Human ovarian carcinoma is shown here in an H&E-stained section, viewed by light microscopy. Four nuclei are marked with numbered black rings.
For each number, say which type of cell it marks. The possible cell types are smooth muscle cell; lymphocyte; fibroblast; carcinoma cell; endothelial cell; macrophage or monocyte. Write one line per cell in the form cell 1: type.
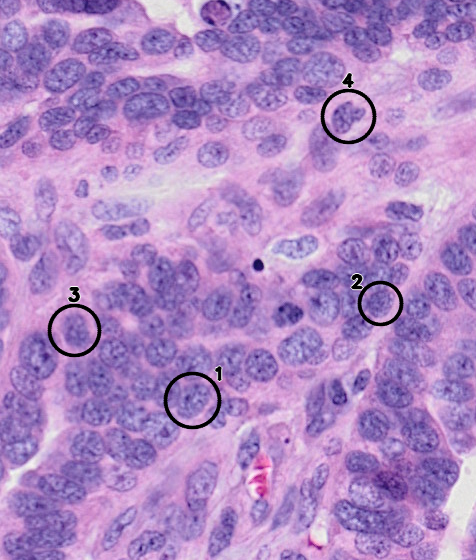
cell 1: carcinoma cell
cell 2: carcinoma cell
cell 3: carcinoma cell
cell 4: macrophage or monocyte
